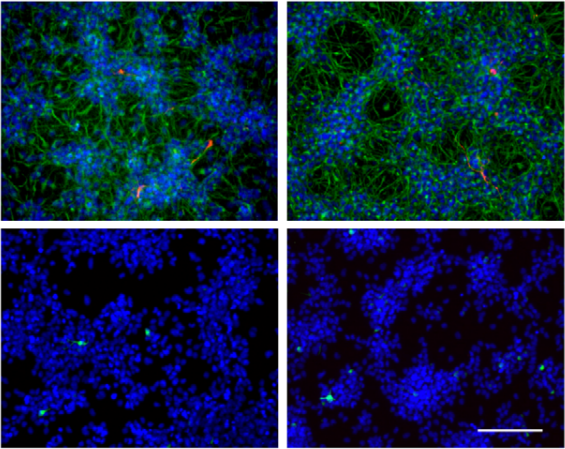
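Blue nuclei crowd into clusters, with sparser areas between them. In the upper row a close meshwork of fine green fibres runs through and between the clusters, so that nearly every cell seems to carry green filaments. In the lower row the nuclei are equally crowded but nearly all stand without colour. Only a few small green points are scattered among them.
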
